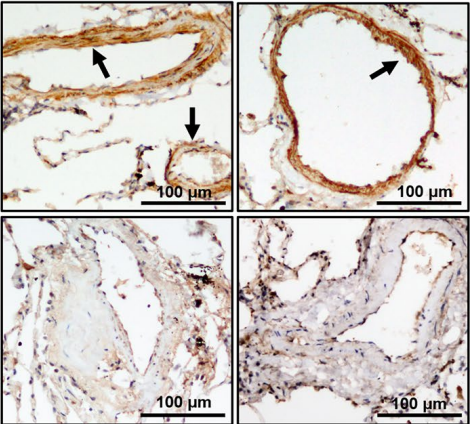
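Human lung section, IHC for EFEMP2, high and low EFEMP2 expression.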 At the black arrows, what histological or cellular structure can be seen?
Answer: artery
